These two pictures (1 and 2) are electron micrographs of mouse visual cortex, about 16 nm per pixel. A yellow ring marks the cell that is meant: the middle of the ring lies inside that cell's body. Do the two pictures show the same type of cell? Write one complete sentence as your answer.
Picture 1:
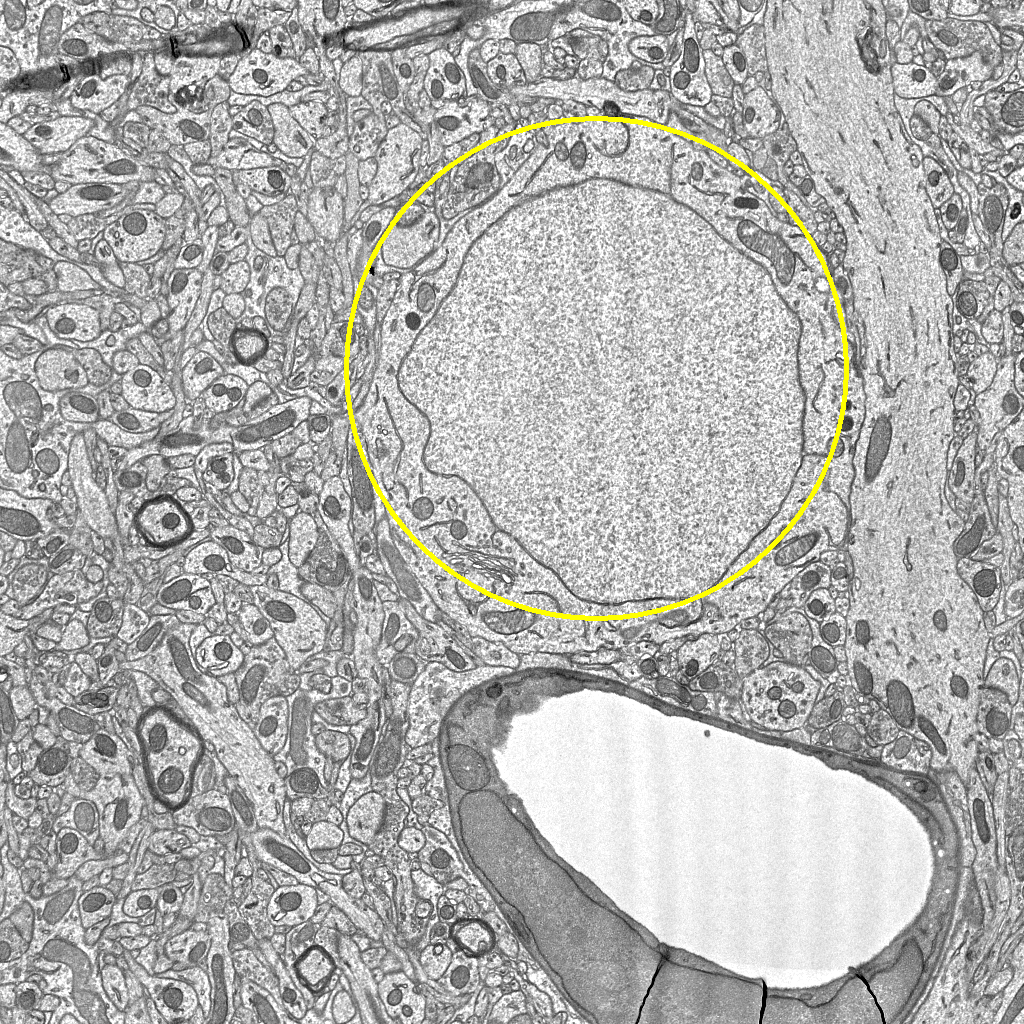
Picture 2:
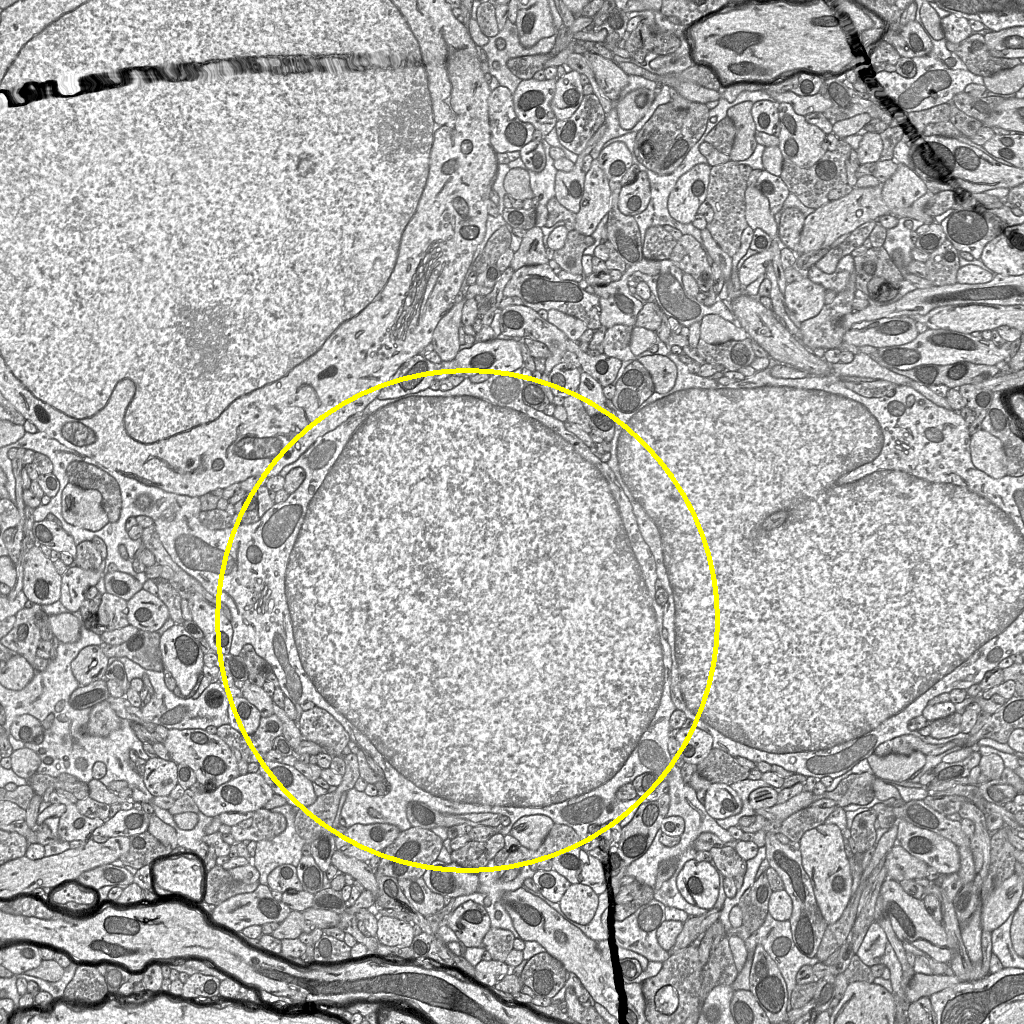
No, the types are not the same, since picture 1 shows an excitatory neuron and picture 2 an astrocyte.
